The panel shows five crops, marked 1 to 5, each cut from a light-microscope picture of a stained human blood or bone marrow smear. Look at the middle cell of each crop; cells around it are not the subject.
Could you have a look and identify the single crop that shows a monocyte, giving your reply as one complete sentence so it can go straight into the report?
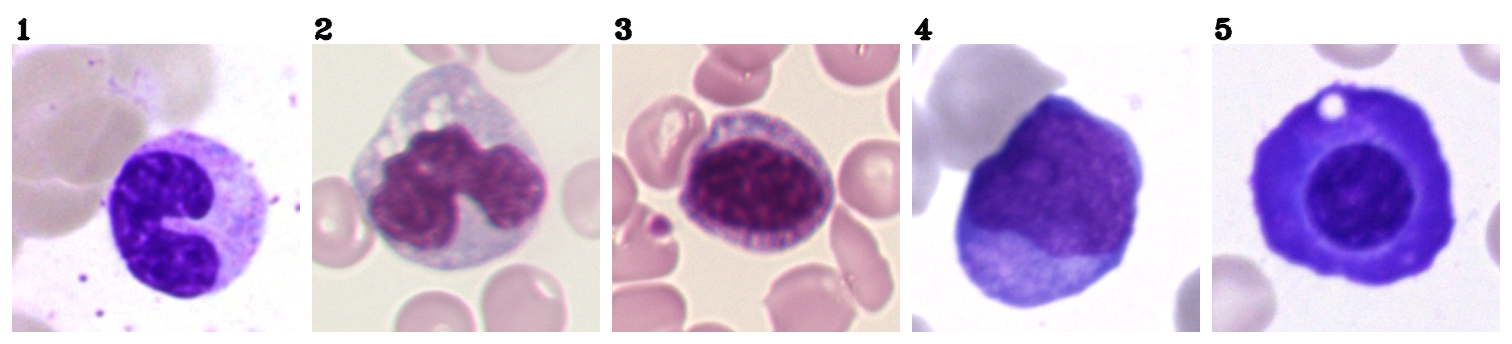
The sole crop showing a monocyte is crop 2.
